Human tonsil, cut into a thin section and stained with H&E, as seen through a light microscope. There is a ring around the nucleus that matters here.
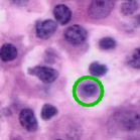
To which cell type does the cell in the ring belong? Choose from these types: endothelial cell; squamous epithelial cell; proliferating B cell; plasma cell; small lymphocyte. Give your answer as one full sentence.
In the stained section, the cell in the ring is a plasma cell.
